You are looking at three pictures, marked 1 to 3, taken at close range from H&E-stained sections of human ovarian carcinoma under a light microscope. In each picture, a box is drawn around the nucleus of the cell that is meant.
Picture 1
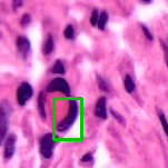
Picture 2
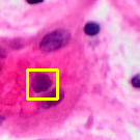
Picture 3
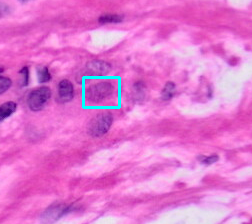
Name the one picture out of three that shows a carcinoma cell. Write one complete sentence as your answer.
Picture 3 is the one that shows the carcinoma cell.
